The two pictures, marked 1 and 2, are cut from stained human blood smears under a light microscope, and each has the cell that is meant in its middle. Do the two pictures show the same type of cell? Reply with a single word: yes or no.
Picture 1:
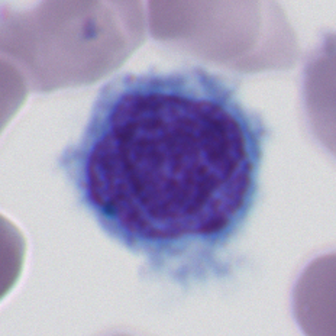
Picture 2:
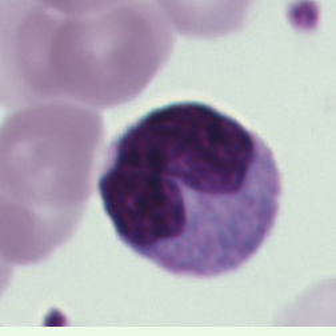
yes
